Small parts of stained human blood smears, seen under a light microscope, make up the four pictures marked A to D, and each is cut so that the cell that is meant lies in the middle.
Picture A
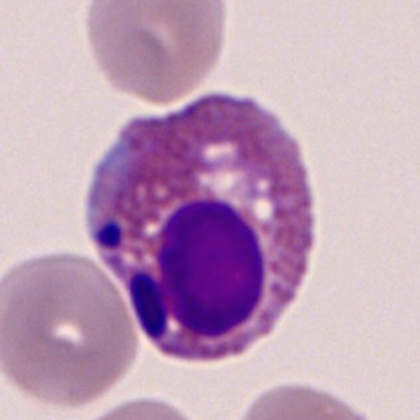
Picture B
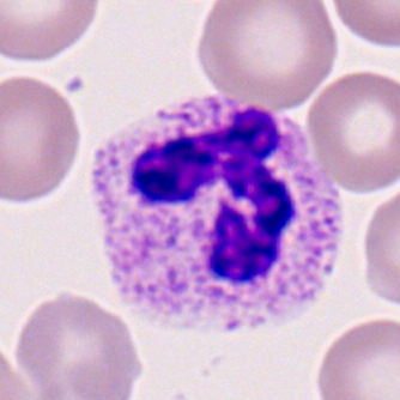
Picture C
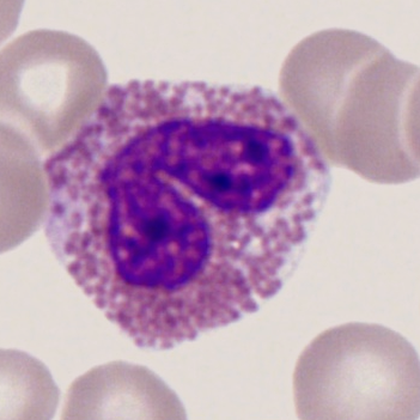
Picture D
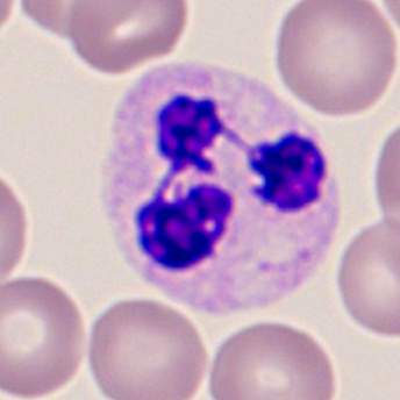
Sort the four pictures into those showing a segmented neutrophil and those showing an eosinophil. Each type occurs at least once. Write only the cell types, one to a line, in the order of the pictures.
eosinophil
segmented neutrophil
eosinophil
segmented neutrophil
